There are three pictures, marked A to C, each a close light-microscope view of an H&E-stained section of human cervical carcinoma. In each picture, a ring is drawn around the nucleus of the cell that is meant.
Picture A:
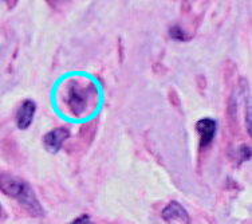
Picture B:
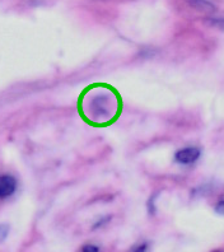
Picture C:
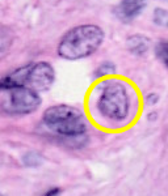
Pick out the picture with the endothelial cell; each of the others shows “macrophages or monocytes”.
C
